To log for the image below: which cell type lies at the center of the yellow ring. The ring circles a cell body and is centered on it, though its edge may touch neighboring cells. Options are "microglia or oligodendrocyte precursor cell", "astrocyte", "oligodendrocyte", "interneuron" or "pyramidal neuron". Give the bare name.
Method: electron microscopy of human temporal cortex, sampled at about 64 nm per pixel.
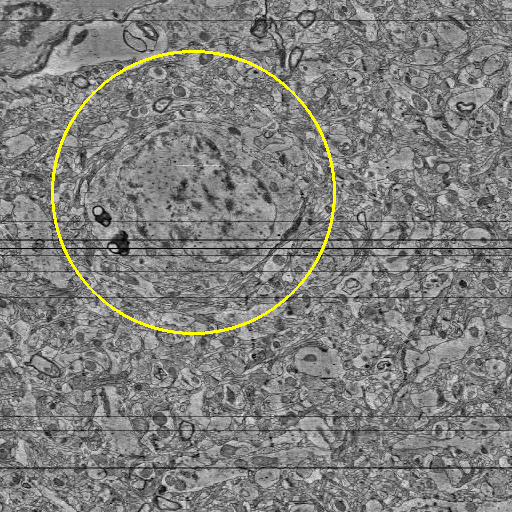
interneuron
